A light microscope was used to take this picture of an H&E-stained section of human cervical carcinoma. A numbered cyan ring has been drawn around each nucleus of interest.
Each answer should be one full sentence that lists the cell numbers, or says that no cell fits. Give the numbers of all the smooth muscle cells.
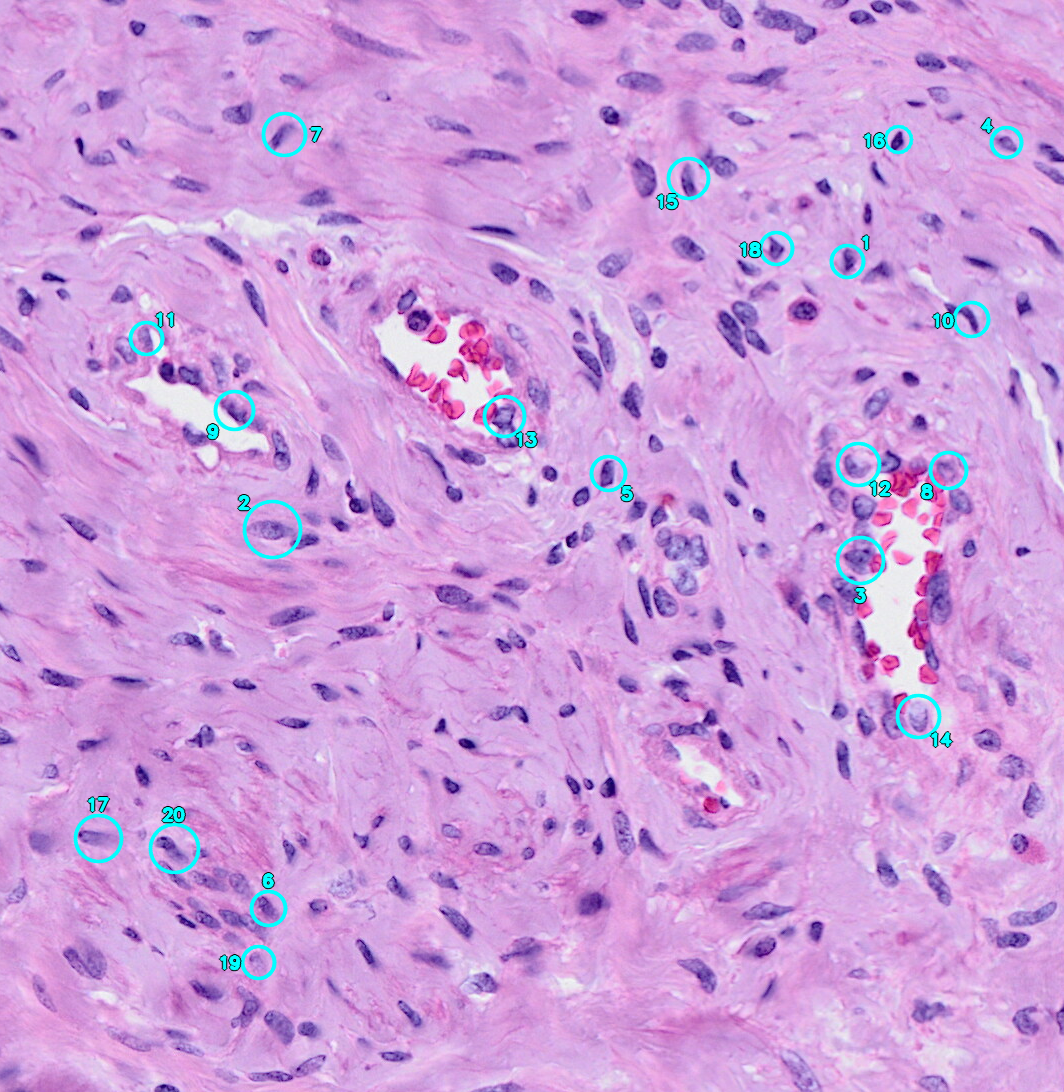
Here, the cells that carry numbers 6 and 19 are smooth muscle cells.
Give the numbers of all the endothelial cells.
The cells that have been numbered 3, 8, 9, 11, 12, 13 and 14 are endothelial cells.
